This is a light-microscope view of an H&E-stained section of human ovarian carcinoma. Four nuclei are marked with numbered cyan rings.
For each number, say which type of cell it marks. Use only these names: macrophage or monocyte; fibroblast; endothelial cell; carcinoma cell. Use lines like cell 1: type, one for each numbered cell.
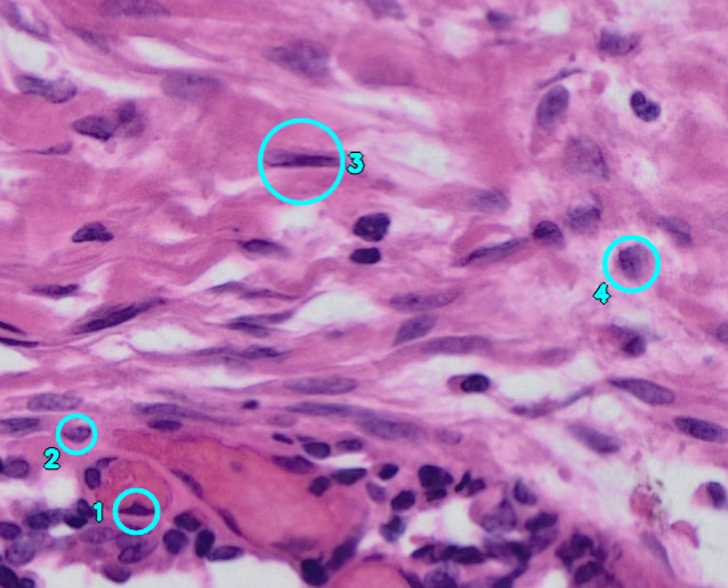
cell 1: endothelial cell
cell 2: fibroblast
cell 3: fibroblast
cell 4: fibroblast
